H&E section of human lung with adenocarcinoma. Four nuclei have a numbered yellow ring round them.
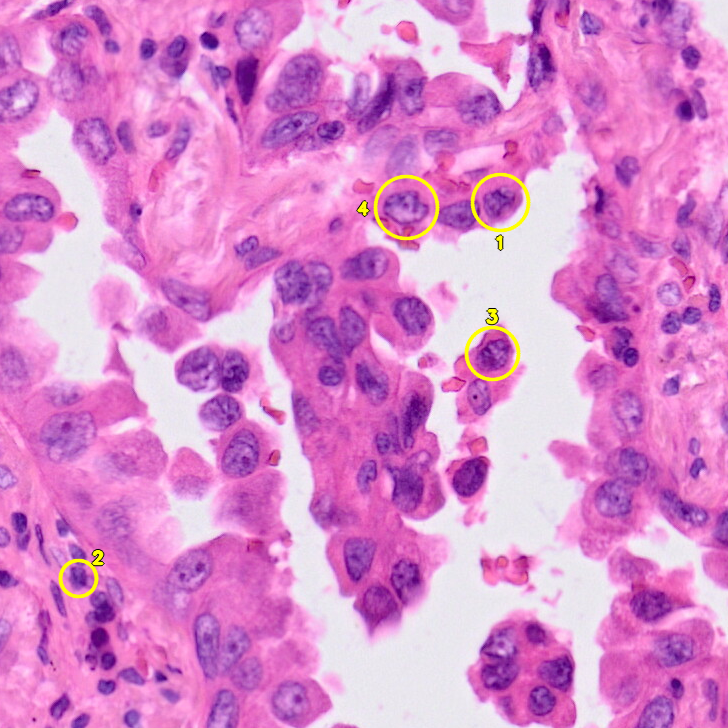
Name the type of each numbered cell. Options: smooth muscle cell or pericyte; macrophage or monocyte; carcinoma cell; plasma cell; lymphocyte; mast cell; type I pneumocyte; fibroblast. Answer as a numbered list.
1. carcinoma cell
2. lymphocyte
3. carcinoma cell
4. carcinoma cell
